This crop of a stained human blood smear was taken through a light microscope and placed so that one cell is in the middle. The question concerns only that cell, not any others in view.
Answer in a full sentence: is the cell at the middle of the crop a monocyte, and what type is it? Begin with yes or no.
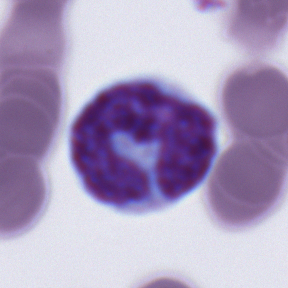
Yes, centred in the crop is a monocyte.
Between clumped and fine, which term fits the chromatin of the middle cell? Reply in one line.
Answer: the chromatin in this nucleus is coarsely clumped.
